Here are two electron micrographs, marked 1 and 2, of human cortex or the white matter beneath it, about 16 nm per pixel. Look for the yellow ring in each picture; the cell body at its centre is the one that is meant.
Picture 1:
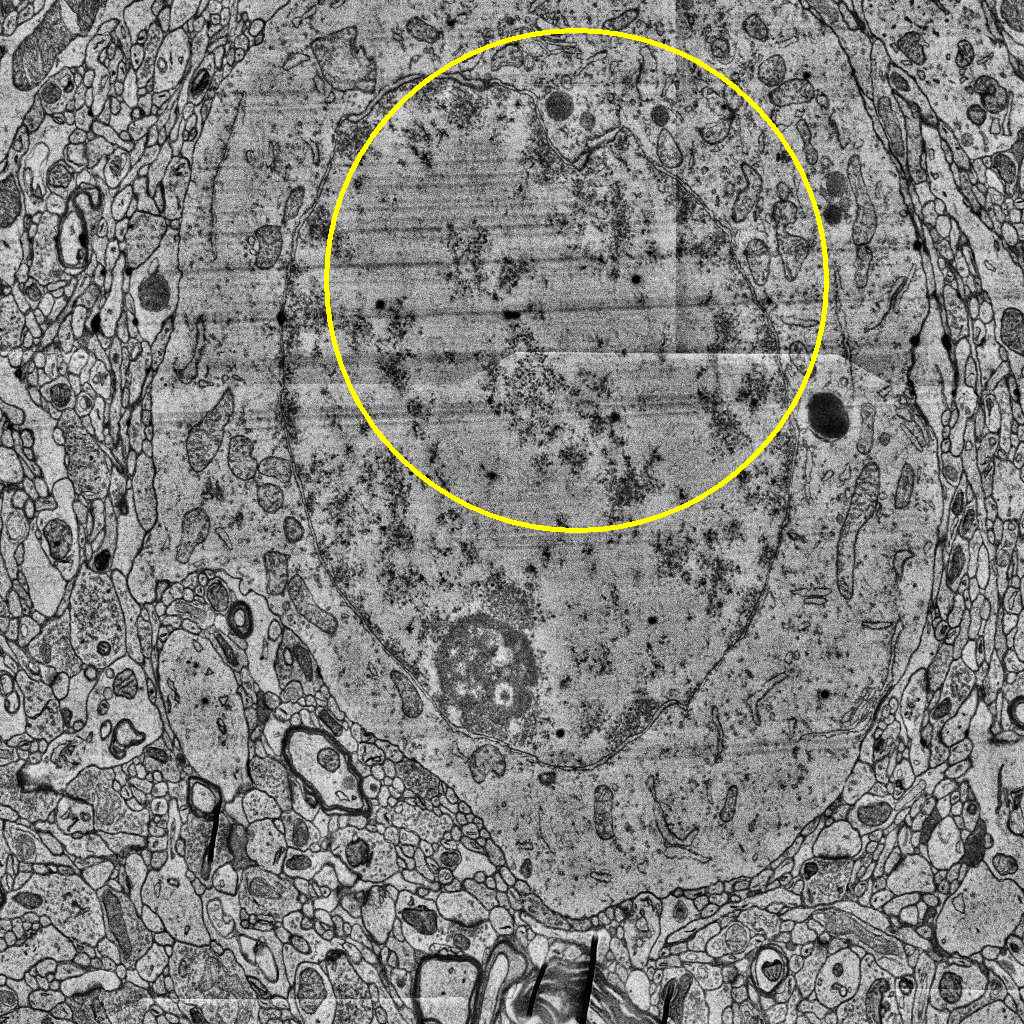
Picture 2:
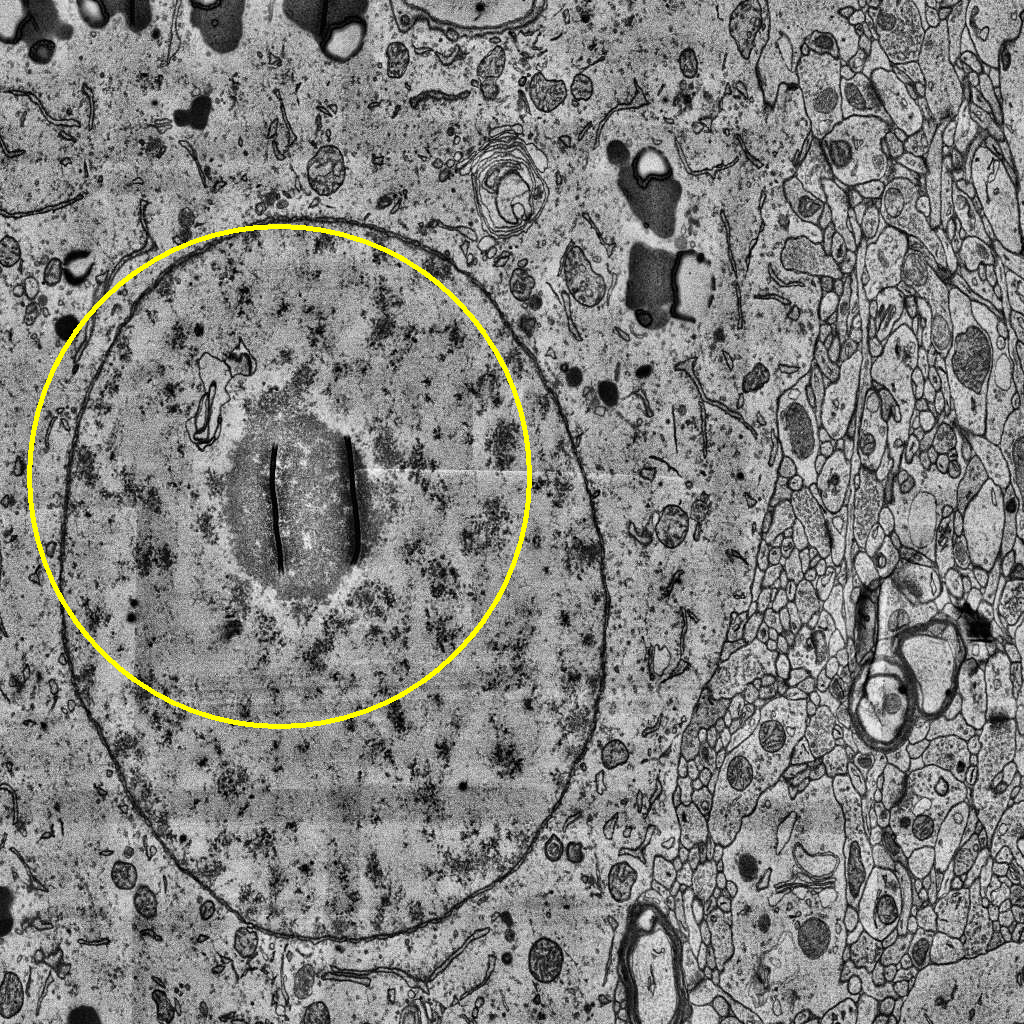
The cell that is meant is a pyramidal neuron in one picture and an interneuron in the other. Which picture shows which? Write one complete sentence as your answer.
Picture 1 shows an interneuron and picture 2 shows a pyramidal neuron.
